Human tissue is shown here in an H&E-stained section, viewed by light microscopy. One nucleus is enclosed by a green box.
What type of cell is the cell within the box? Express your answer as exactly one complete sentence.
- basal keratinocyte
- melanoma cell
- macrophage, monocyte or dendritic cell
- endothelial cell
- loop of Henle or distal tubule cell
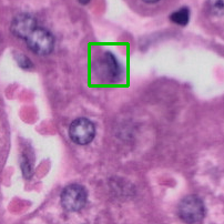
Histopathologically, the cell within the box is an endothelial cell.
